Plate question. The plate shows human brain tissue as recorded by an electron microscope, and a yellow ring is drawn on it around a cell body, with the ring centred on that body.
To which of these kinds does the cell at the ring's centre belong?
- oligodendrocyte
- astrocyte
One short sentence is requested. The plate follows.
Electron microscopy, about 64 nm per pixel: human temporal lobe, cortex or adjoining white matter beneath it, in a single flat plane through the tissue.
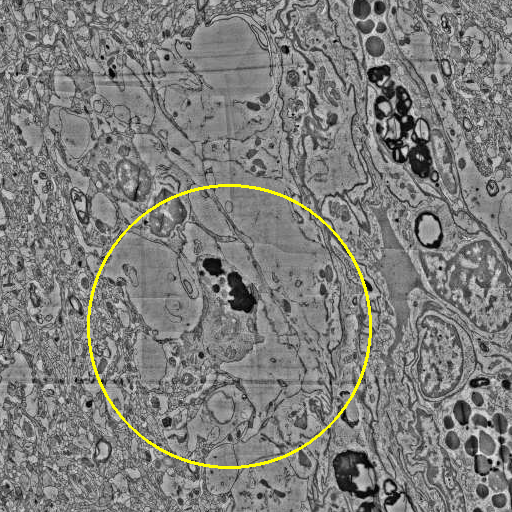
The cell at the ring's centre is an oligodendrocyte.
